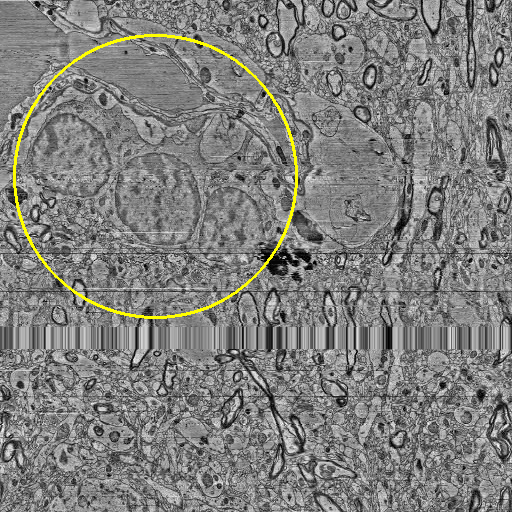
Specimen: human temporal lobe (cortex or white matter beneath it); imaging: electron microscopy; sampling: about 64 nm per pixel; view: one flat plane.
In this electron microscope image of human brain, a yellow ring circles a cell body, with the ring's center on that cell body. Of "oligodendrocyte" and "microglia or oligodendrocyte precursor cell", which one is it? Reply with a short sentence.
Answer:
It is an oligodendrocyte at the center of the ring.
